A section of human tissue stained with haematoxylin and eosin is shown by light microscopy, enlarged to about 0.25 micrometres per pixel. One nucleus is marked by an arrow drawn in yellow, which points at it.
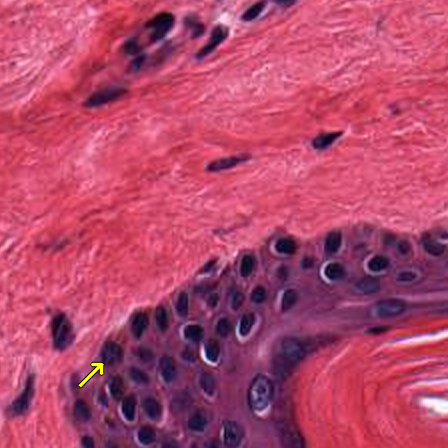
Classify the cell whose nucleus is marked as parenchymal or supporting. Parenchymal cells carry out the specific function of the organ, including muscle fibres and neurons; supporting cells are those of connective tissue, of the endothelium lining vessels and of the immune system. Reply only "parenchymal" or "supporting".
parenchymal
